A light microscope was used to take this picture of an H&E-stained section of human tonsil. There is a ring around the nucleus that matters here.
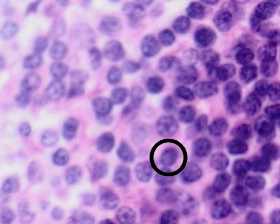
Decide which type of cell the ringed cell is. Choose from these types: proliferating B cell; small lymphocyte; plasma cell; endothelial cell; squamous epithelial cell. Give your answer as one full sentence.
The ringed cell appears to be a small lymphocyte.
